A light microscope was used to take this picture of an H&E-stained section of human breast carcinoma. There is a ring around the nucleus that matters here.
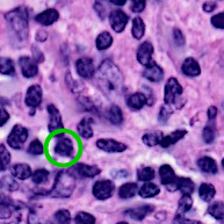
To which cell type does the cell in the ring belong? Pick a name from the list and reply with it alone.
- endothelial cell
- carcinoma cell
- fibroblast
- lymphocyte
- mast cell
lymphocyte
